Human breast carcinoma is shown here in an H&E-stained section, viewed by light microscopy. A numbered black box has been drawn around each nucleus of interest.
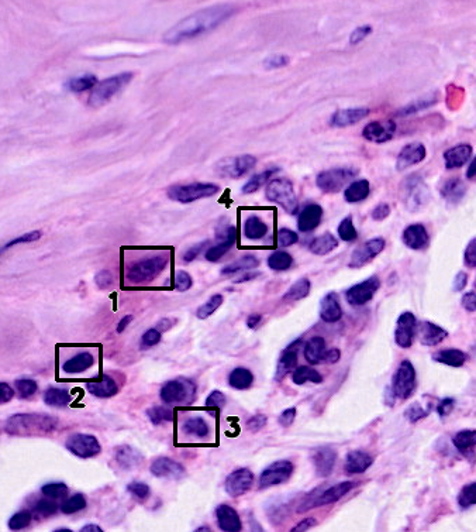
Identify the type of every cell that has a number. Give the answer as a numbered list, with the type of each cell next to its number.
1. mast cell
2. lymphocyte
3. lymphocyte
4. lymphocyte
